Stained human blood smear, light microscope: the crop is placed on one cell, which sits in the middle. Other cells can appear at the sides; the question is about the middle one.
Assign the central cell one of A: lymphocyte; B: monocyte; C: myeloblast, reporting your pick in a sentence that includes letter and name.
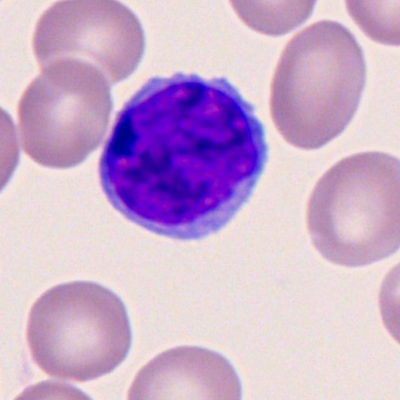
Option A is to be chosen, as the central cell is a lymphocyte.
